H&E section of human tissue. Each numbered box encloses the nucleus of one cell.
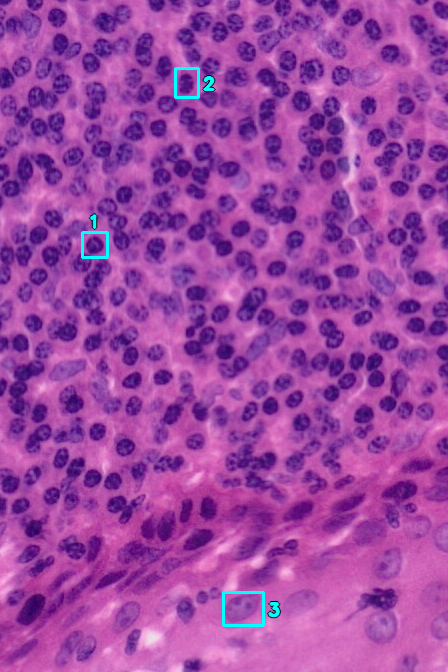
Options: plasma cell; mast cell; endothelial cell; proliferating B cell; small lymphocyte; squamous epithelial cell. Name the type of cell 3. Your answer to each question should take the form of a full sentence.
The correct answer for cell 3 is a squamous epithelial cell.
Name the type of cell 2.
The cell indicated by marker 2 is a plasma cell in this section.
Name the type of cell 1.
Here, the cell given the number 1 is a plasma cell.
